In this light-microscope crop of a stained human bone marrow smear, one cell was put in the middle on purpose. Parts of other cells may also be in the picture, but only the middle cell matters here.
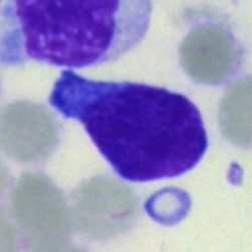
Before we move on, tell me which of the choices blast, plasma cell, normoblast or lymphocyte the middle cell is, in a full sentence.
Located at the centre of the crop is a blast.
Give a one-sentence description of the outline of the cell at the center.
The margin of this cell is irregular, showing raggedness or projections instead of smoothness.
